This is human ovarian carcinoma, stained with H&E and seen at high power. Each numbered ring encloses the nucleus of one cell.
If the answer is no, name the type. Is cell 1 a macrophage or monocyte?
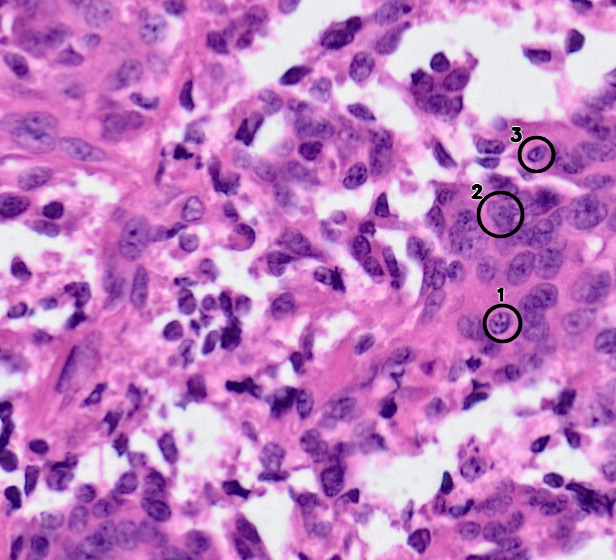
Yes.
